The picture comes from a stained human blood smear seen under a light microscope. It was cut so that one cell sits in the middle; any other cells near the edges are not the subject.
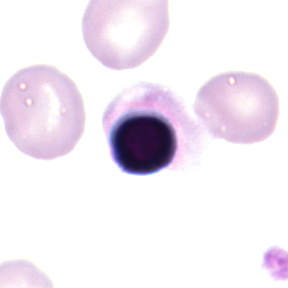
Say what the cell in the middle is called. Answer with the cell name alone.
erythroblast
